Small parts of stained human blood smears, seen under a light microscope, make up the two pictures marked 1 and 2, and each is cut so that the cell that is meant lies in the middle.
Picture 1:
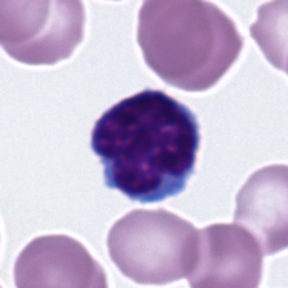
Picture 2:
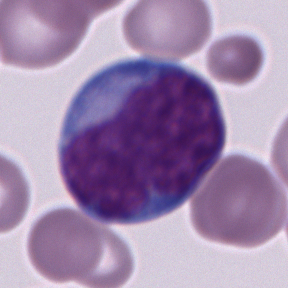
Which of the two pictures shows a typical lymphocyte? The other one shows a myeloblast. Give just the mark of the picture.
1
